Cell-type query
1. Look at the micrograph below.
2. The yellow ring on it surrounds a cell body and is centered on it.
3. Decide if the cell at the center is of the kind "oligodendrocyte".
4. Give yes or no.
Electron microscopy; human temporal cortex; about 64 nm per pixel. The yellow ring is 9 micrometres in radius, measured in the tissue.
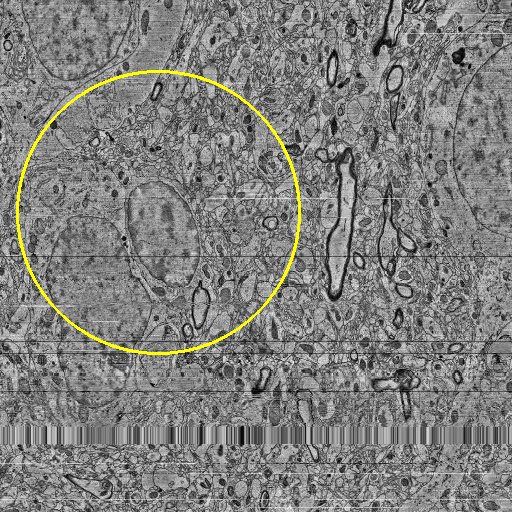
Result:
yes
